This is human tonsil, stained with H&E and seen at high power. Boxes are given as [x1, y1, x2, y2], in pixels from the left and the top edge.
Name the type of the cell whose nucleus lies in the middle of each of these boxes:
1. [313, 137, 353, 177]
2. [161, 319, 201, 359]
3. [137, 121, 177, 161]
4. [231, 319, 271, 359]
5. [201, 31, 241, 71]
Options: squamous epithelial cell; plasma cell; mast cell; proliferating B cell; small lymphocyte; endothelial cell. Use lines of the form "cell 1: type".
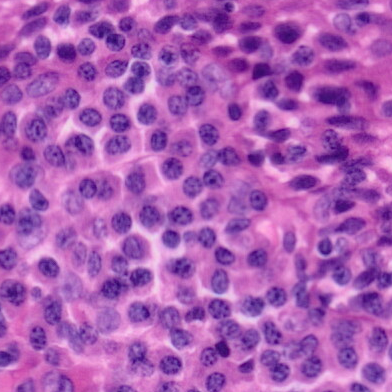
cell 1: squamous epithelial cell
cell 2: plasma cell
cell 3: plasma cell
cell 4: plasma cell
cell 5: squamous epithelial cell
